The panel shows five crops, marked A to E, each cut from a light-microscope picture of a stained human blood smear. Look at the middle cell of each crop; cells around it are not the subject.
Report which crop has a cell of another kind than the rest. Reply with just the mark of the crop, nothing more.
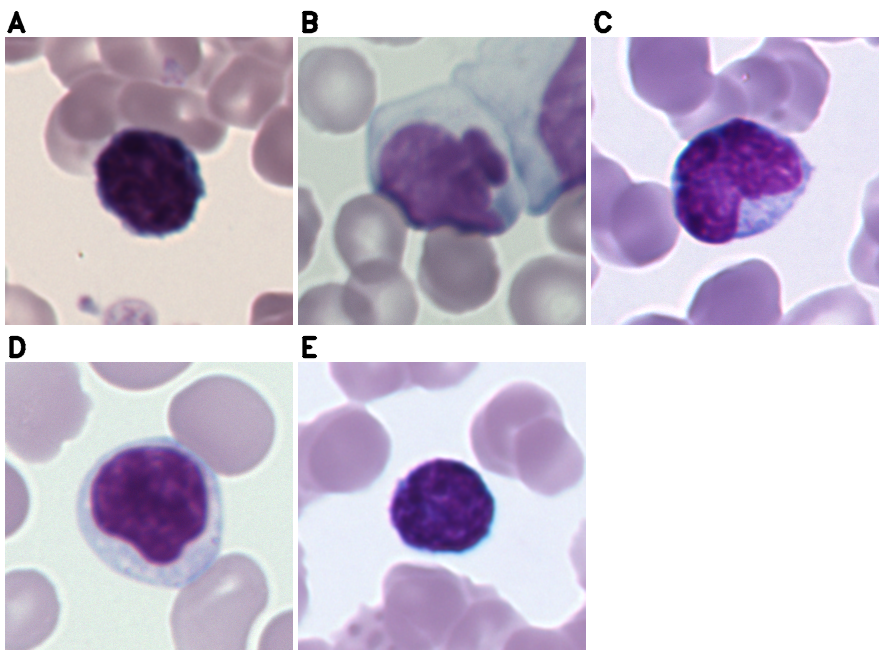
B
